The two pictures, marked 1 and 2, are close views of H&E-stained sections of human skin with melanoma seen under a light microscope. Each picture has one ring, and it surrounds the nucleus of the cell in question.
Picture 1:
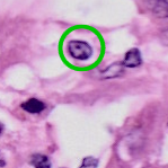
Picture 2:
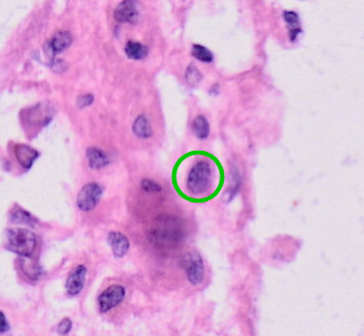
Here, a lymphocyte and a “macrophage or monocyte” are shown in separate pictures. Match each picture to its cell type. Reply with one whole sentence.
It is picture 1 that shows a lymphocyte, and picture 2 that shows a “macrophage or monocyte”.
